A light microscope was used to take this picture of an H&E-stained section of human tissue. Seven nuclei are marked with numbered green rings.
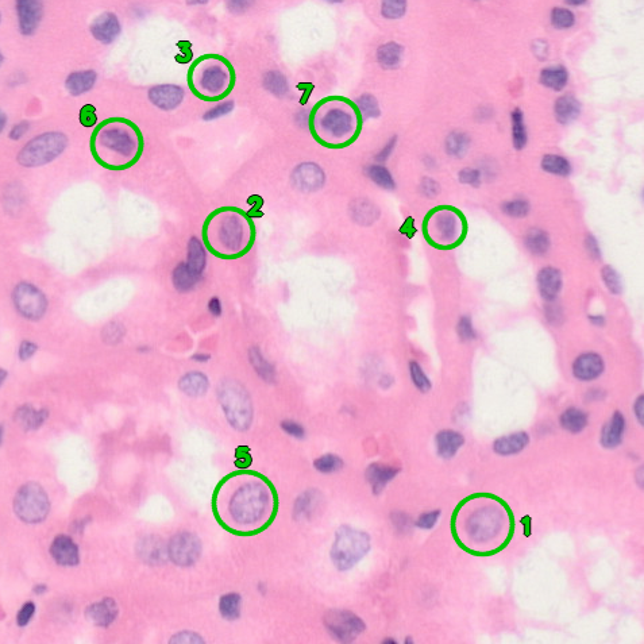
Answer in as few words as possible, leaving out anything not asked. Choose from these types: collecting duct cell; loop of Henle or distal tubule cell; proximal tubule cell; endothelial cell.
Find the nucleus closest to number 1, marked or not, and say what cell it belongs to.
endothelial cell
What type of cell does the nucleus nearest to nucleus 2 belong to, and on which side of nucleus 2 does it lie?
a proximal tubule cell, below and to the left of nucleus 2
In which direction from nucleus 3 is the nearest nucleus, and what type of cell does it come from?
an endothelial cell below nucleus 3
